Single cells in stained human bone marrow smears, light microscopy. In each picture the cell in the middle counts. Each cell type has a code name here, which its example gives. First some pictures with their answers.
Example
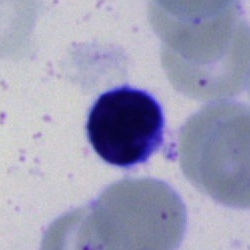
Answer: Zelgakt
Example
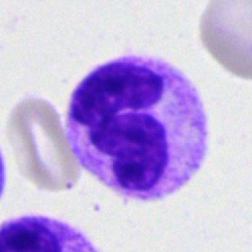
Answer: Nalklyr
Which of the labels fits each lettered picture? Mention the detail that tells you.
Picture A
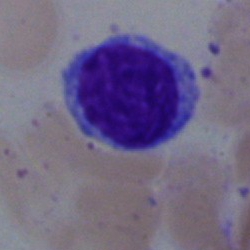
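Zelgakt. The cytoplasm forms only a narrow rim around the nucleus.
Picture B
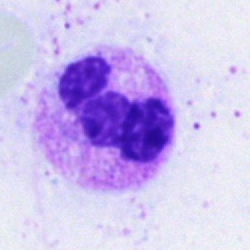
Nalklyr. The cytoplasm is abundant and pale pinkish-lilac.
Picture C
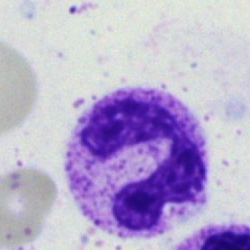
Nalklyr. Fine violet granules are scattered throughout the cytoplasm.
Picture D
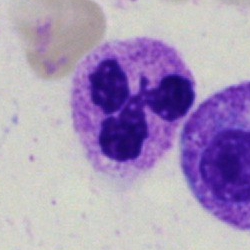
Nalklyr. The cytoplasm is plentiful and pale pinkish-lilac.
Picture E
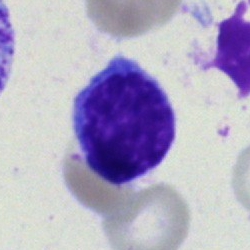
Zelgakt. The nucleus fills almost the whole cell, leaving very scant cytoplasm.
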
